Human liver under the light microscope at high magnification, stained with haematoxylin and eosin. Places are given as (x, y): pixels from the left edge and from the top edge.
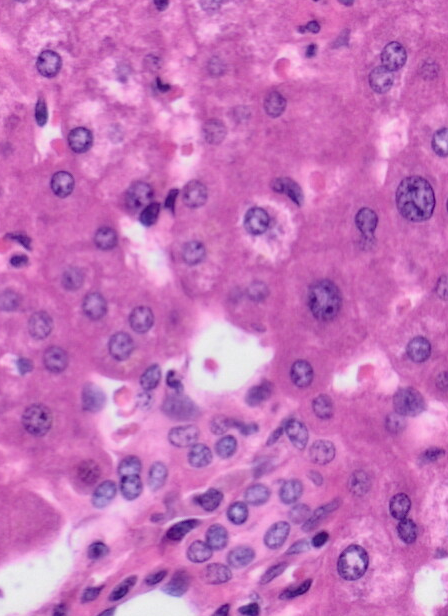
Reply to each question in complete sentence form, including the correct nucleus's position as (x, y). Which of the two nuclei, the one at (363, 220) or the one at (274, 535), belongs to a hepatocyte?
The nucleus at (363, 220) is the one of the two that belongs to a hepatocyte.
